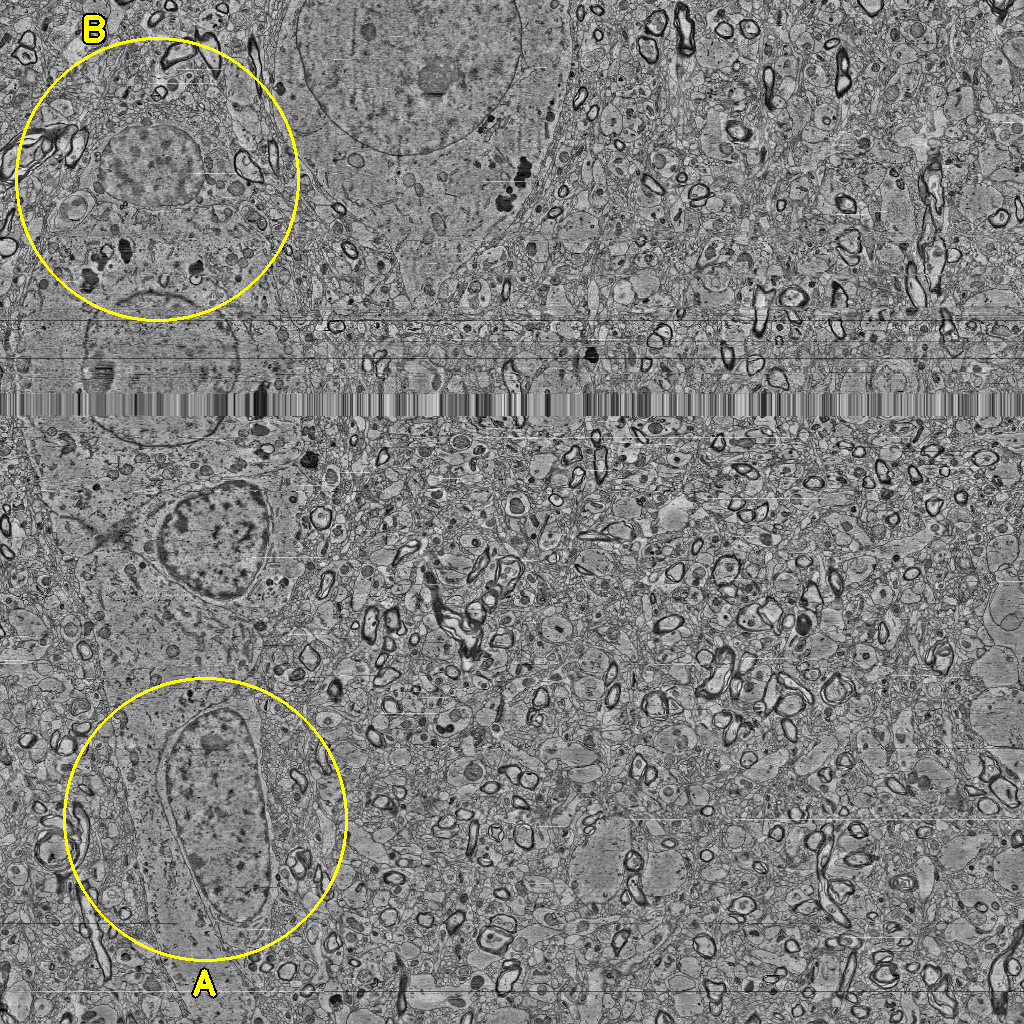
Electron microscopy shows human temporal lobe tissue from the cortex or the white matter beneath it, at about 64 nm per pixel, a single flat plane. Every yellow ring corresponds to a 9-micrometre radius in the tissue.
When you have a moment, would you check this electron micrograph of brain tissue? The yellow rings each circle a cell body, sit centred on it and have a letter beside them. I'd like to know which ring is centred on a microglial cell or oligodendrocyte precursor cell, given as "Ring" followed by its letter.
Ring A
